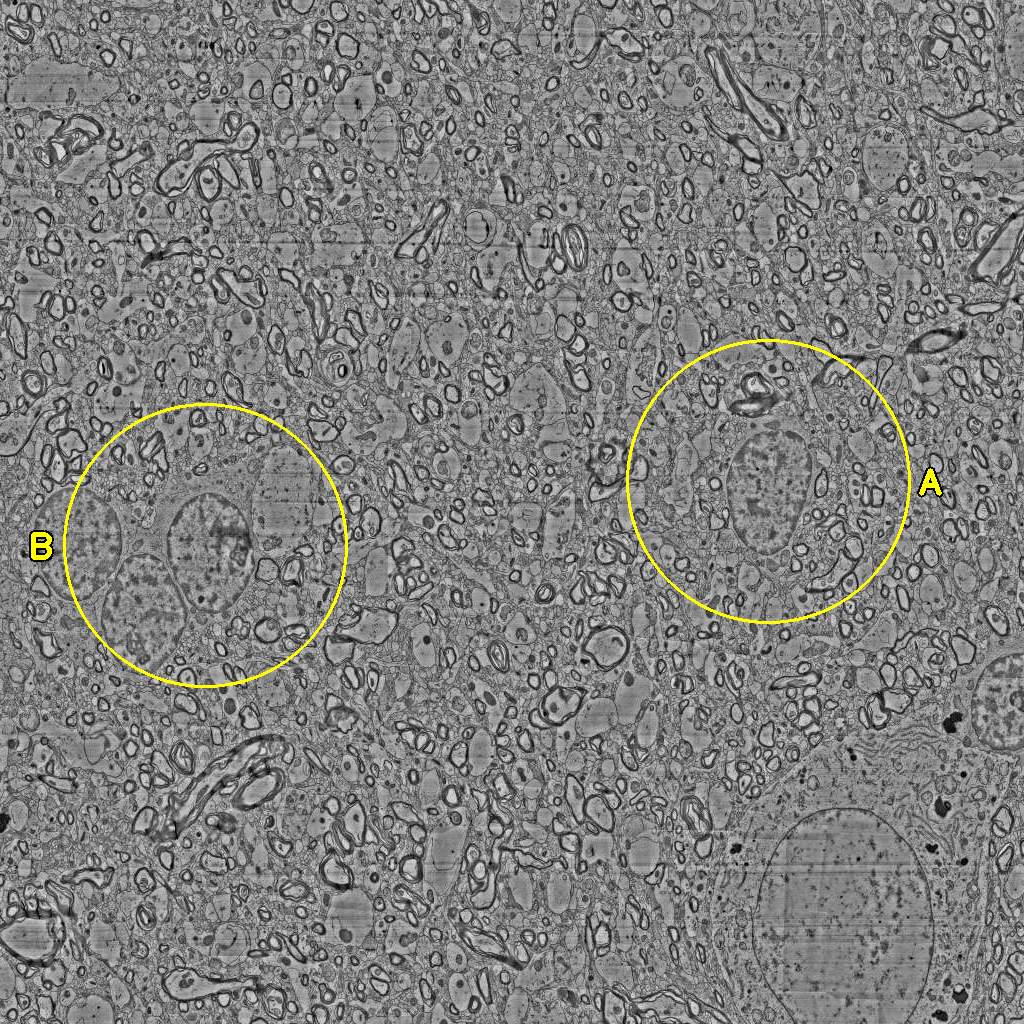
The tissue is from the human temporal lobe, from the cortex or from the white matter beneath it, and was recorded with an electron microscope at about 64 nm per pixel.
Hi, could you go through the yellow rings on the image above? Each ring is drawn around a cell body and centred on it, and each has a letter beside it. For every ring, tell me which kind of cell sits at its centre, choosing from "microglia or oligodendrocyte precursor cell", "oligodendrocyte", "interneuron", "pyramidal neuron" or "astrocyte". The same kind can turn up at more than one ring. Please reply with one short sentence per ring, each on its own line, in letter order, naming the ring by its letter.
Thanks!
Ring A is centred on an oligodendrocyte.
Ring B is centred on an oligodendrocyte.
